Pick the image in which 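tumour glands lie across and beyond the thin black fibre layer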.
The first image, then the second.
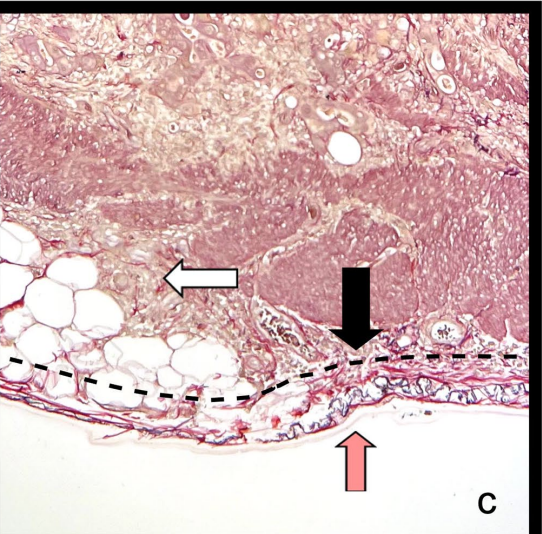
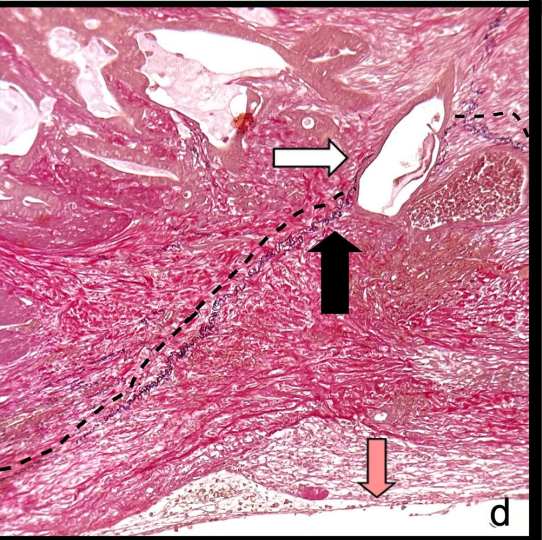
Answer: The second image.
